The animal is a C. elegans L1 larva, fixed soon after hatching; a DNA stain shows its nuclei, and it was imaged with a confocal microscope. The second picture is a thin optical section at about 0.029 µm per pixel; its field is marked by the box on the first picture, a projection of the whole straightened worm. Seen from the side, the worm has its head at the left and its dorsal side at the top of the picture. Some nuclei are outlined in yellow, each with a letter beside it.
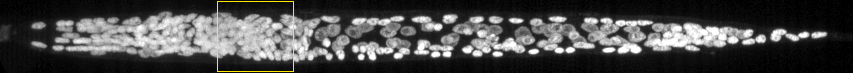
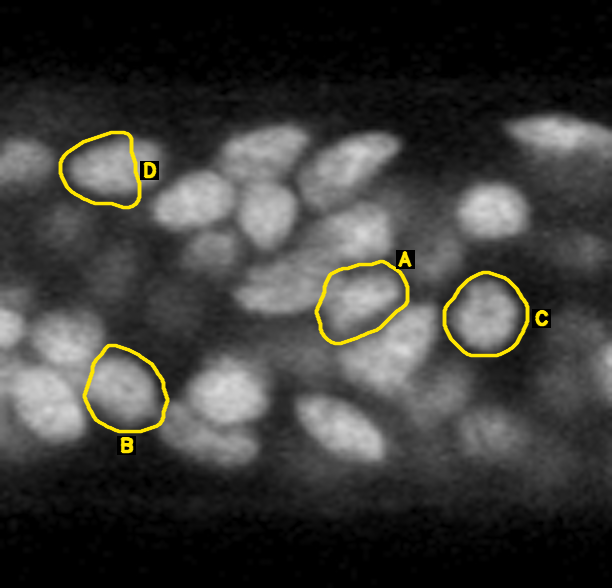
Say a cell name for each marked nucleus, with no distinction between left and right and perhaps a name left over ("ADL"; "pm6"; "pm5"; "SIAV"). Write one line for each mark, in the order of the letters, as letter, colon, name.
A: pm5
B: SIAV
C: pm6
D: ADL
